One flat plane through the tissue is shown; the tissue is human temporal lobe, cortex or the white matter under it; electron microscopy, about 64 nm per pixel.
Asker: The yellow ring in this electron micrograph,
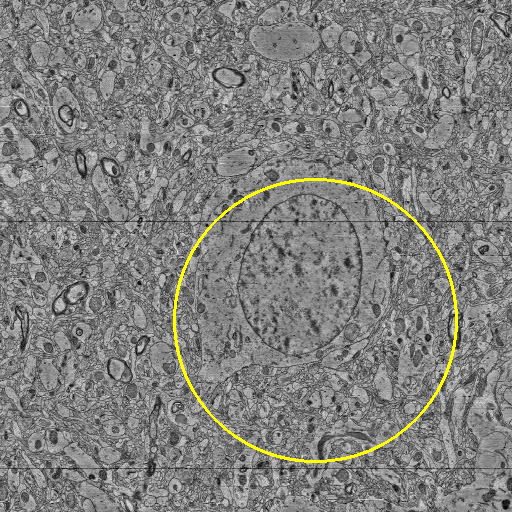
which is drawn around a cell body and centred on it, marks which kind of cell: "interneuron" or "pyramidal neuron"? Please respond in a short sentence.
The marked cell is a pyramidal neuron.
